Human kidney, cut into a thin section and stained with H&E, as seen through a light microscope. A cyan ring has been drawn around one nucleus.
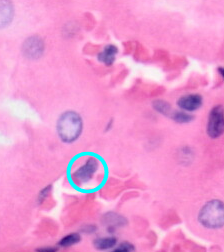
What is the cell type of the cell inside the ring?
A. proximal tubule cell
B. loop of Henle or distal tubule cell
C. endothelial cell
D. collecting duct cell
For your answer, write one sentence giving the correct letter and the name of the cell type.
The correct pick is option C; the cell inside the ring is an endothelial cell.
